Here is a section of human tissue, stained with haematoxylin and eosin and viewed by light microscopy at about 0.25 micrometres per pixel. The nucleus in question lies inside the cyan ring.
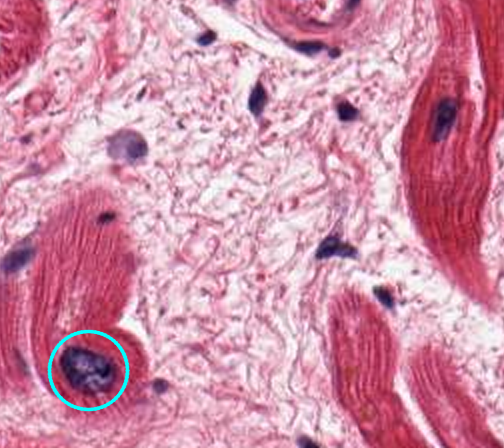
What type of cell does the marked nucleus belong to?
cardiomyocyte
